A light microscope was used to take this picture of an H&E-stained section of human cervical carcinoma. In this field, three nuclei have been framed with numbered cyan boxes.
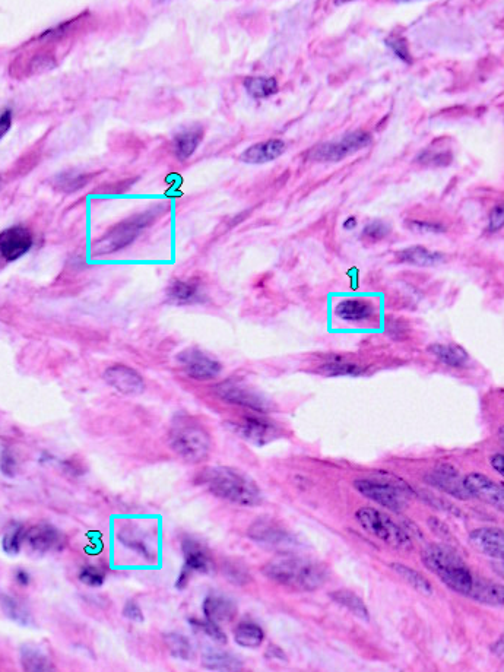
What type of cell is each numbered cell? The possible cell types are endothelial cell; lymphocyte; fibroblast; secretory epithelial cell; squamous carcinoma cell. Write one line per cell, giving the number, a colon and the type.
1: lymphocyte
2: fibroblast
3: fibroblast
